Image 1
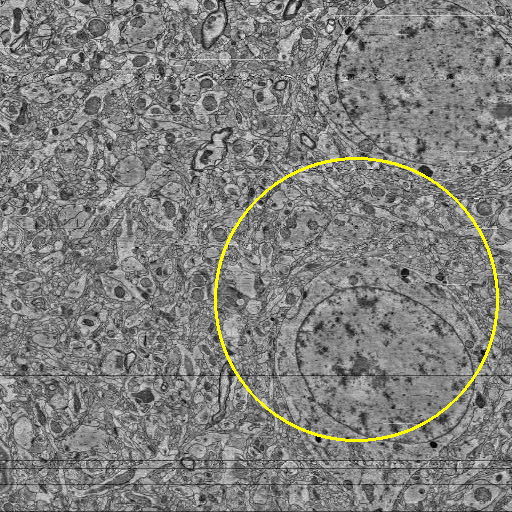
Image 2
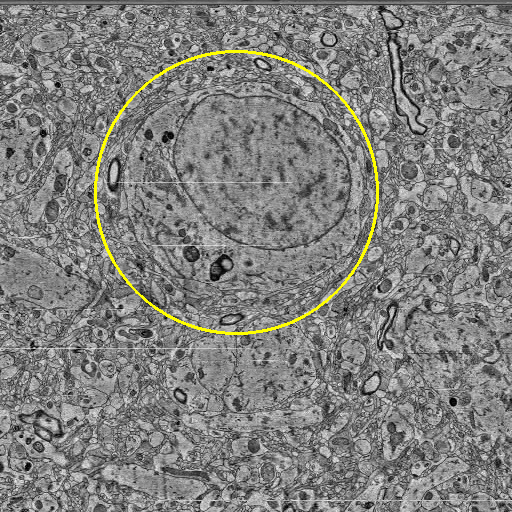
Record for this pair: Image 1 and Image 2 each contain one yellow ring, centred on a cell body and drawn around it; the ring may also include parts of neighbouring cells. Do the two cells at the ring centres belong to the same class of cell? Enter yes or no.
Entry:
yes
